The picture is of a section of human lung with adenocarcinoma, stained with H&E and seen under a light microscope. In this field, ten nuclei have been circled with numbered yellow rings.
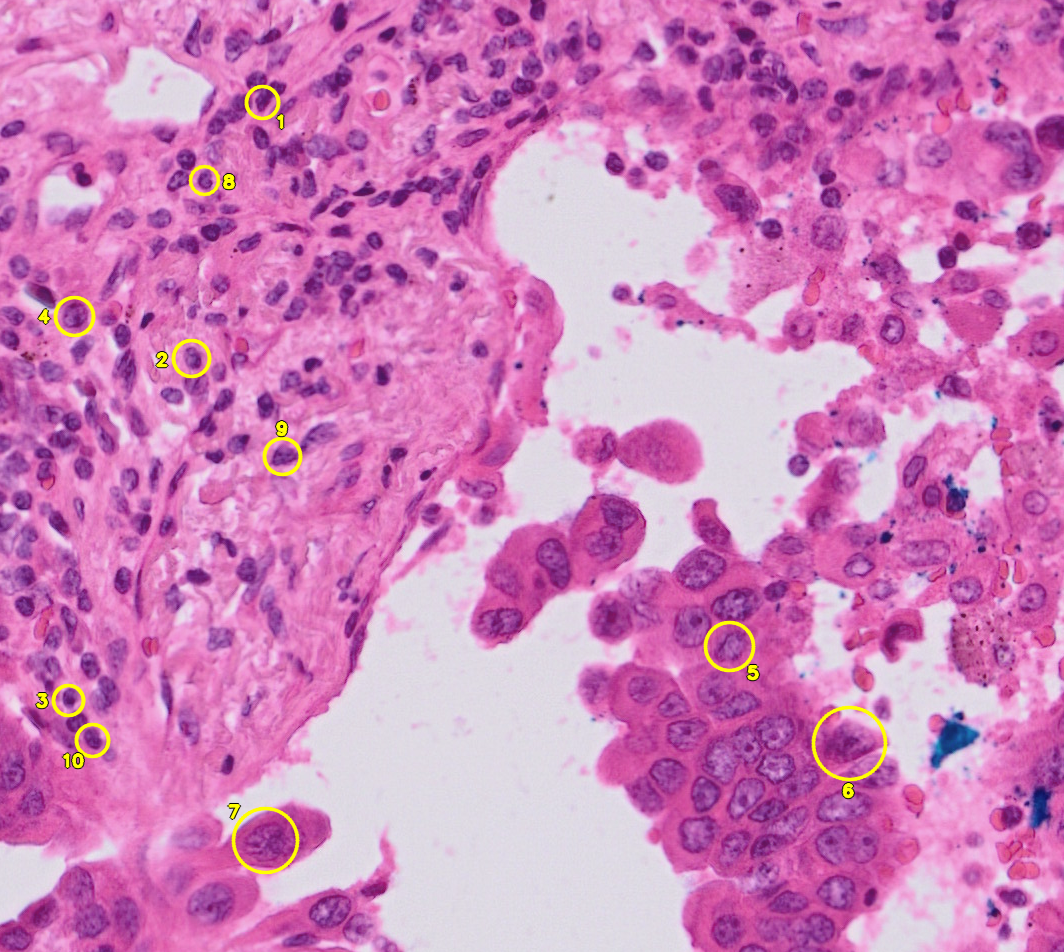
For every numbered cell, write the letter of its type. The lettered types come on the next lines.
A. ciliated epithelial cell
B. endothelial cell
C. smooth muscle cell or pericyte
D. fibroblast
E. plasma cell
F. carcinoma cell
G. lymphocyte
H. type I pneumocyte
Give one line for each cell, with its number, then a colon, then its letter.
1: G
2: G
3: G
4: E
5: F
6: F
7: F
8: G
9: G
10: G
